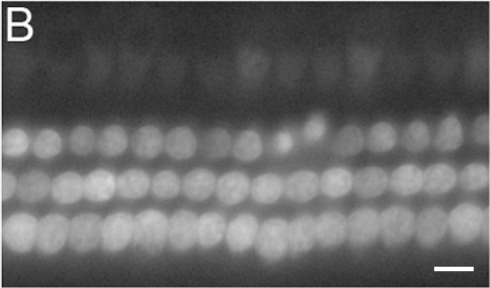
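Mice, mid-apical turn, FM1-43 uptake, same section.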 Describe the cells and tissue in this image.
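Three parallel horizontal rows of closely spaced round cells fill the lower half of the field. Each cell is roughly evenly filled with signal, with some cells brighter than others. Above the three rows a single fainter row of cells can be made out against the dark background.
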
